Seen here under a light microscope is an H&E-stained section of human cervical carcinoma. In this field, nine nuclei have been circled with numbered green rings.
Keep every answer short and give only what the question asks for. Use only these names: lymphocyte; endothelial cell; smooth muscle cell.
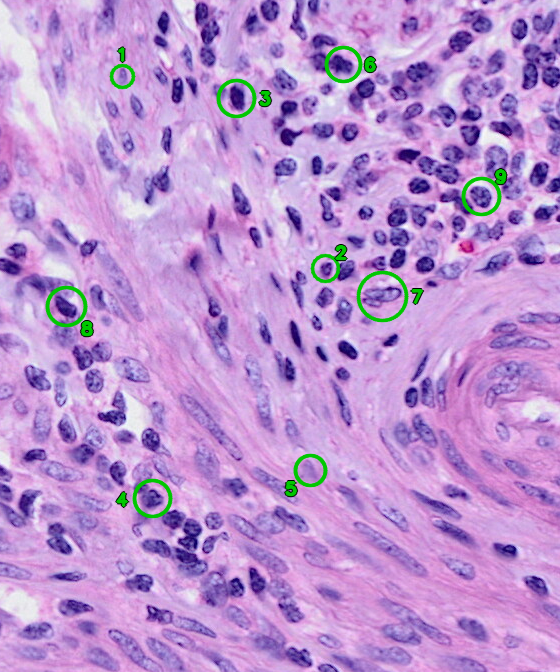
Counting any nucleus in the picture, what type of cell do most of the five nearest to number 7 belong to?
lymphocyte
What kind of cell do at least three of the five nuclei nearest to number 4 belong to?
lymphocyte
